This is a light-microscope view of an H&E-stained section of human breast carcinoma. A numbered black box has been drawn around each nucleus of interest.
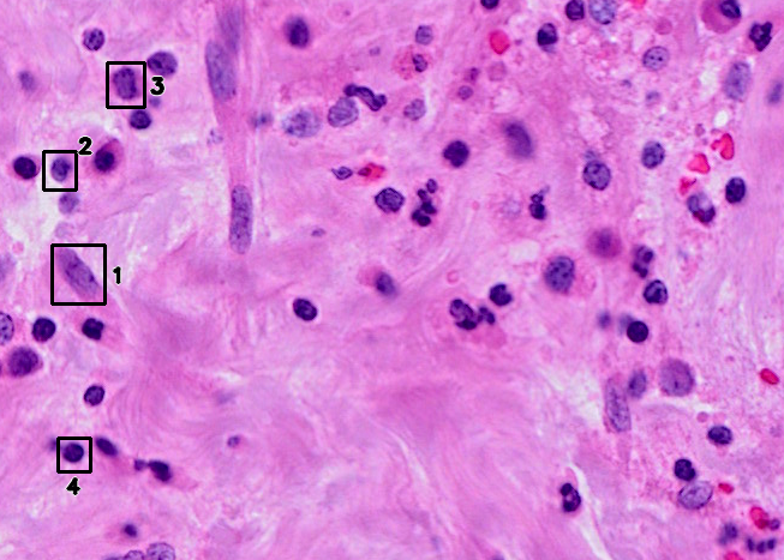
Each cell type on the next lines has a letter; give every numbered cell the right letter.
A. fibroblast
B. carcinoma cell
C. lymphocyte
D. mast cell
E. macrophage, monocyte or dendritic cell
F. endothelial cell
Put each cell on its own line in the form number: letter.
1: A
2: C
3: E
4: C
